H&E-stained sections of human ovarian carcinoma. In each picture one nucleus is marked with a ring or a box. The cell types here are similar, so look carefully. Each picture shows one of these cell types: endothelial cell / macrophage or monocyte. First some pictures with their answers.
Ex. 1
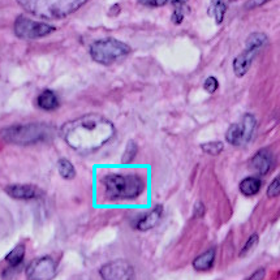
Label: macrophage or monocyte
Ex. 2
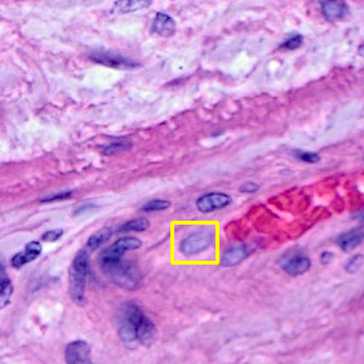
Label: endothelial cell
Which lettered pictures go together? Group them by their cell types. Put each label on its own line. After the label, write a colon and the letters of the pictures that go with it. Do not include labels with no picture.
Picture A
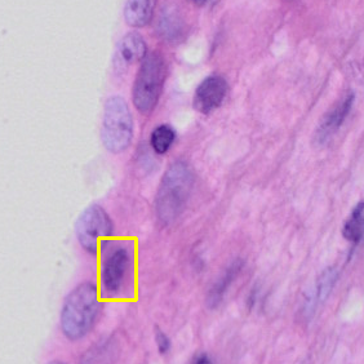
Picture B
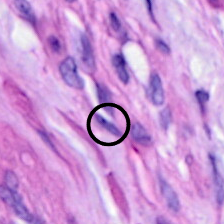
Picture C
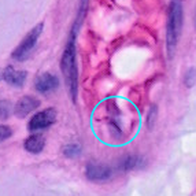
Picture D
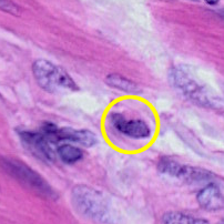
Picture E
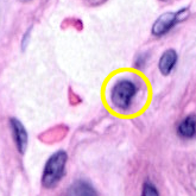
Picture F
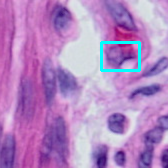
endothelial cell: B, C, E, F
macrophage or monocyte: A, D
